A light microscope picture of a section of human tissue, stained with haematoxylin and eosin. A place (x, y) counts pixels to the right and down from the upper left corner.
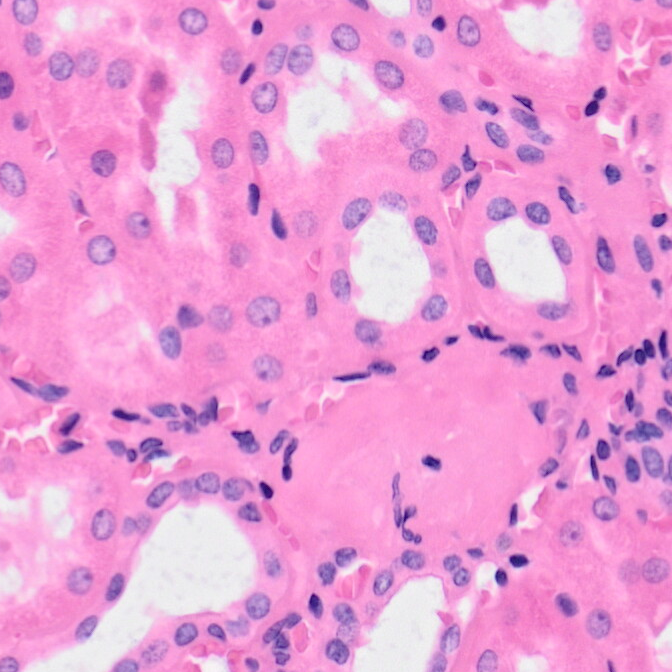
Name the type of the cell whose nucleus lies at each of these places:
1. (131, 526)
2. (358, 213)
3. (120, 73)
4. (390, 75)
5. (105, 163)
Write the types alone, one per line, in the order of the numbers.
collecting duct cell
loop of Henle or distal tubule cell
proximal tubule cell
proximal tubule cell
proximal tubule cell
